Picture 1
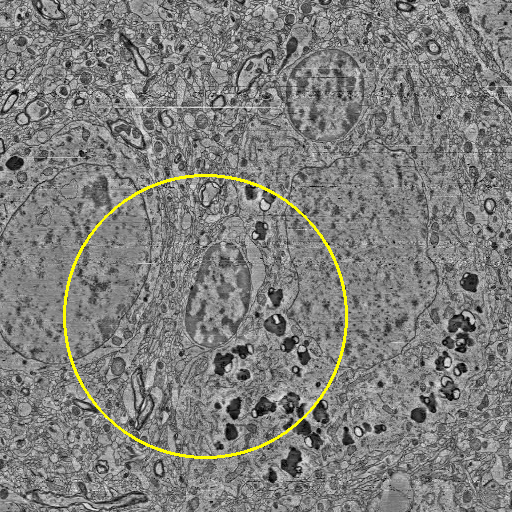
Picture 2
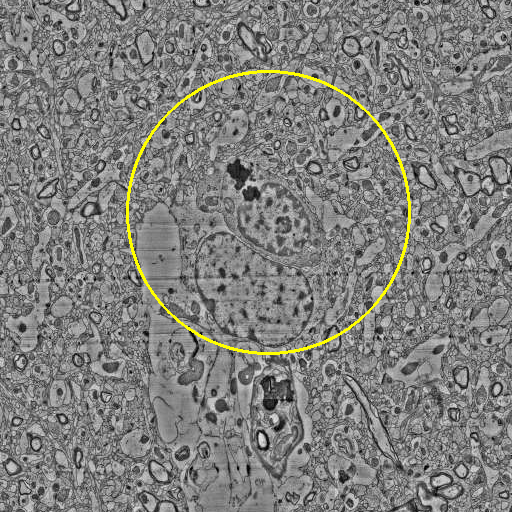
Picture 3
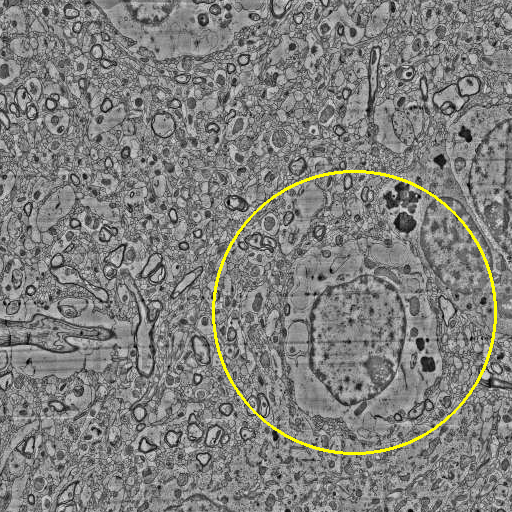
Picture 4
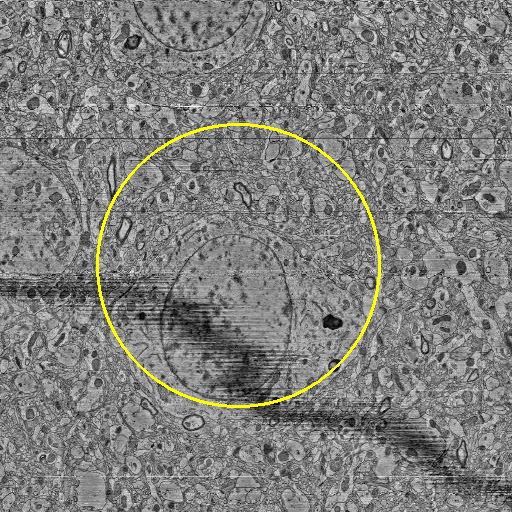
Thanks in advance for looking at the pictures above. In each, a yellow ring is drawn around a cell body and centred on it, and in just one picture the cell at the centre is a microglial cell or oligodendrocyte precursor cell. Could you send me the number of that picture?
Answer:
1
